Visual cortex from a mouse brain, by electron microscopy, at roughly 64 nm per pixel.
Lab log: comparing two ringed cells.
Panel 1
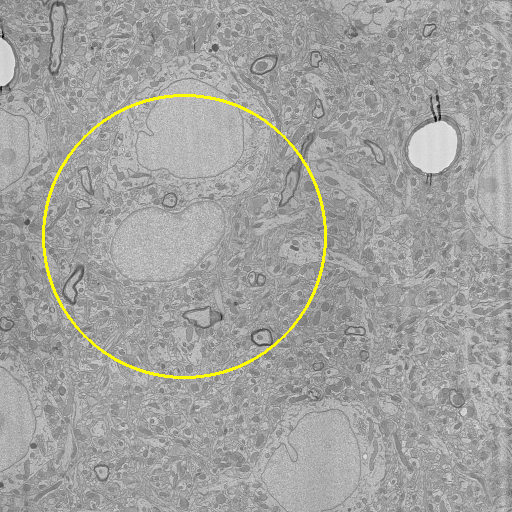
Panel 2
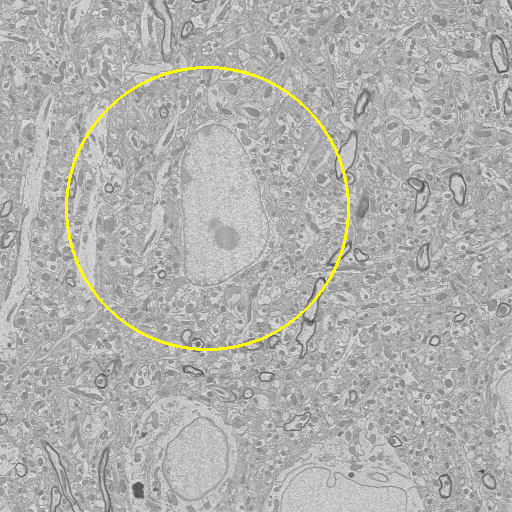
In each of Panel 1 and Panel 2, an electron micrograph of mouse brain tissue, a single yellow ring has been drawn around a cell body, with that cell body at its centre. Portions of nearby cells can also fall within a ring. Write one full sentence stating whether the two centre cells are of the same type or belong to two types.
The cells at the ring centres in Panel 1 and Panel 2 are of the same type.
